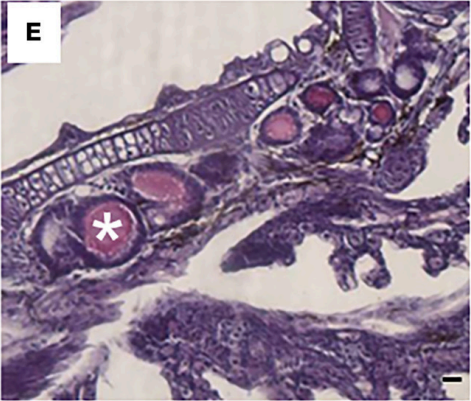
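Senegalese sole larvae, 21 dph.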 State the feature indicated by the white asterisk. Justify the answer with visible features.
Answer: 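The asterisk lies on a round pink-filled structure. It is surrounded by a ring of purple-staining cells. Several other small round pink-filled structures lie in a row along a cartilage bar. So: thyroid follicles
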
